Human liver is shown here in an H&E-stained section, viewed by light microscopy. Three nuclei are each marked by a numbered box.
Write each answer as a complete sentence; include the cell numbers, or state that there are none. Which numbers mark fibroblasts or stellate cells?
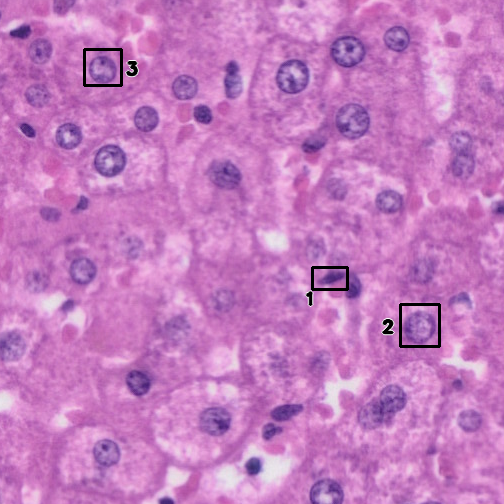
It is only cell 1 that is a fibroblast or stellate cell among the numbered cells.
